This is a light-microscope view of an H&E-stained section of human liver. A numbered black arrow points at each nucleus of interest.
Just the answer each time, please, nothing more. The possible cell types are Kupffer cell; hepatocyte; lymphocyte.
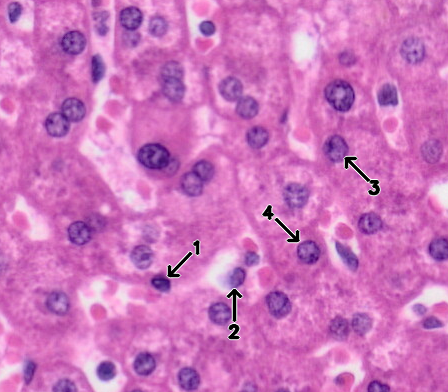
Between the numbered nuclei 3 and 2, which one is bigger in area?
3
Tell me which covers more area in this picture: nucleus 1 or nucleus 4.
4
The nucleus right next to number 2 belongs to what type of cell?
lymphocyte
